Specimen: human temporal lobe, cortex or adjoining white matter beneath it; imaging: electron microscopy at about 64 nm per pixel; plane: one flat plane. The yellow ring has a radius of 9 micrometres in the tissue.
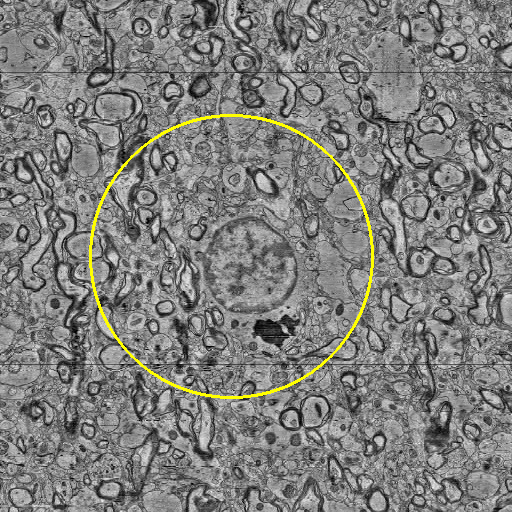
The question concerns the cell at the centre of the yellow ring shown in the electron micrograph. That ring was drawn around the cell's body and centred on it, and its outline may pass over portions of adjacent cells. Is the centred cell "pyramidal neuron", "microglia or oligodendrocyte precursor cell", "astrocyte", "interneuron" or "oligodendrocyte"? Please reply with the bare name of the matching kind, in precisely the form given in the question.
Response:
oligodendrocyte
